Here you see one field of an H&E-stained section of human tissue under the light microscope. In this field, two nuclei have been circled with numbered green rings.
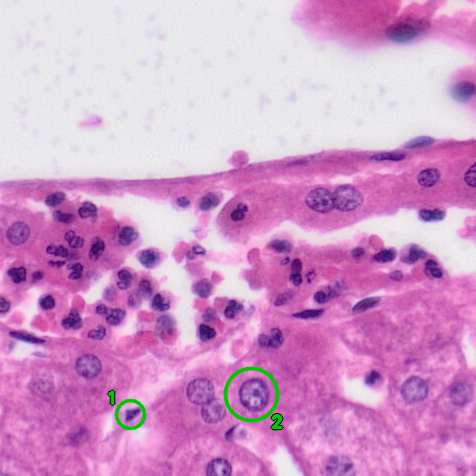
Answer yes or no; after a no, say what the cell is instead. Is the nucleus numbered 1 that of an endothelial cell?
Yes.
